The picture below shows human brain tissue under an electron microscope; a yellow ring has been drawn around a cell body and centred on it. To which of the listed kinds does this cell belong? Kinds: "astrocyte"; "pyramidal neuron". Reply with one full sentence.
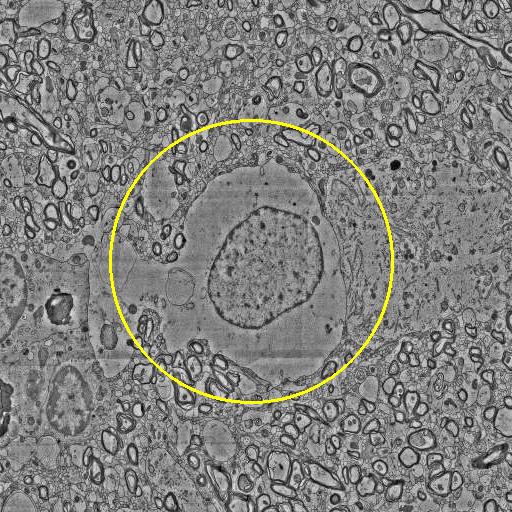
It is an astrocyte that the yellow ring in the picture is centred on.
